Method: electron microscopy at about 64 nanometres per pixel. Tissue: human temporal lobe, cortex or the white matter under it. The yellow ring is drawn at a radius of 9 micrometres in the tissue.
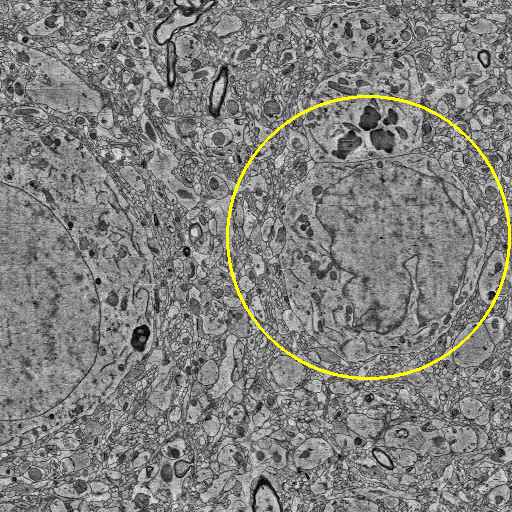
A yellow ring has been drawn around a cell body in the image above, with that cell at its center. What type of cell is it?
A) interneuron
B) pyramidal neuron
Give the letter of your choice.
A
